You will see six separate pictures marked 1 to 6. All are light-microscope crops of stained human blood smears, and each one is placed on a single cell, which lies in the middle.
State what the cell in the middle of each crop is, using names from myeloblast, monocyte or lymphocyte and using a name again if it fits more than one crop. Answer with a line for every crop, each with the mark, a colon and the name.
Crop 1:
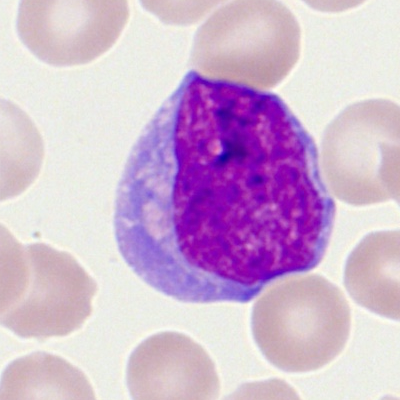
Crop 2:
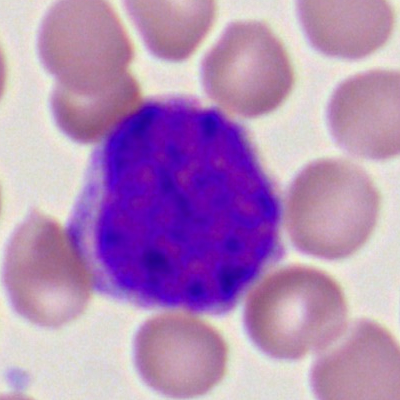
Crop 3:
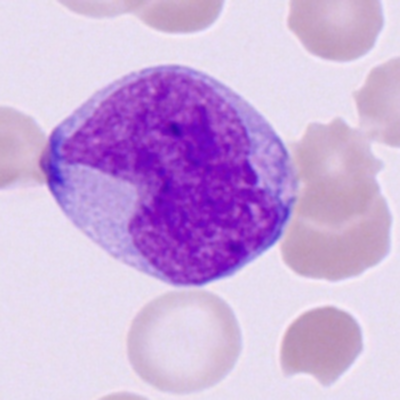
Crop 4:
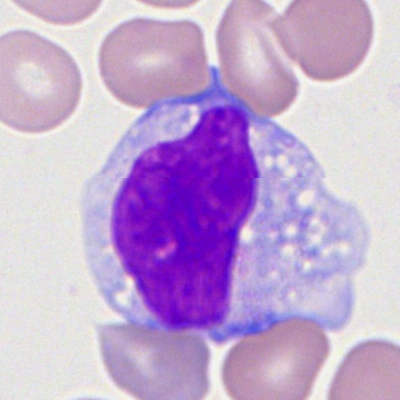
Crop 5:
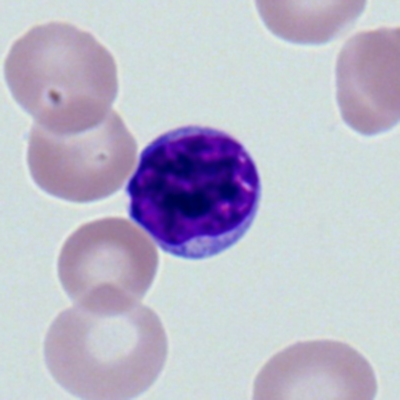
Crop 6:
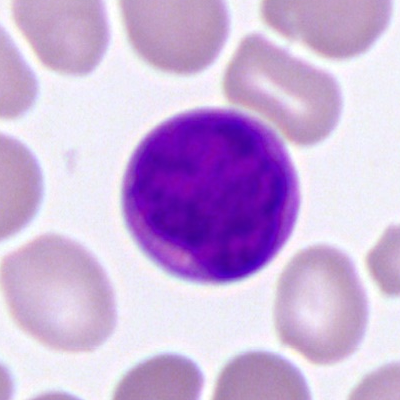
1: myeloblast
2: myeloblast
3: myeloblast
4: monocyte
5: lymphocyte
6: myeloblast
